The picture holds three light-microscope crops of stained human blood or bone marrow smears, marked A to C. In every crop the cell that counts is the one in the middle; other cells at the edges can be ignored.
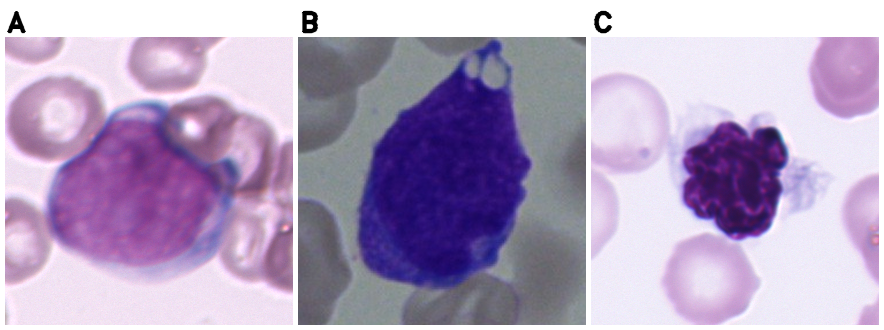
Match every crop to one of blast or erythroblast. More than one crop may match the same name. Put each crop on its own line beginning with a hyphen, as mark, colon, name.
- A: blast
- B: blast
- C: erythroblast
